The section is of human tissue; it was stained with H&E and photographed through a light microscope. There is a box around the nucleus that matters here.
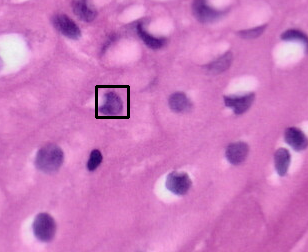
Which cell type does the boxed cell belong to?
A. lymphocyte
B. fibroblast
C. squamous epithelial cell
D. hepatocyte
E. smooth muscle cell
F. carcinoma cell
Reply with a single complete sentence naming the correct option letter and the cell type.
Under option C, the boxed cell is listed as a squamous epithelial cell, which is correct.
